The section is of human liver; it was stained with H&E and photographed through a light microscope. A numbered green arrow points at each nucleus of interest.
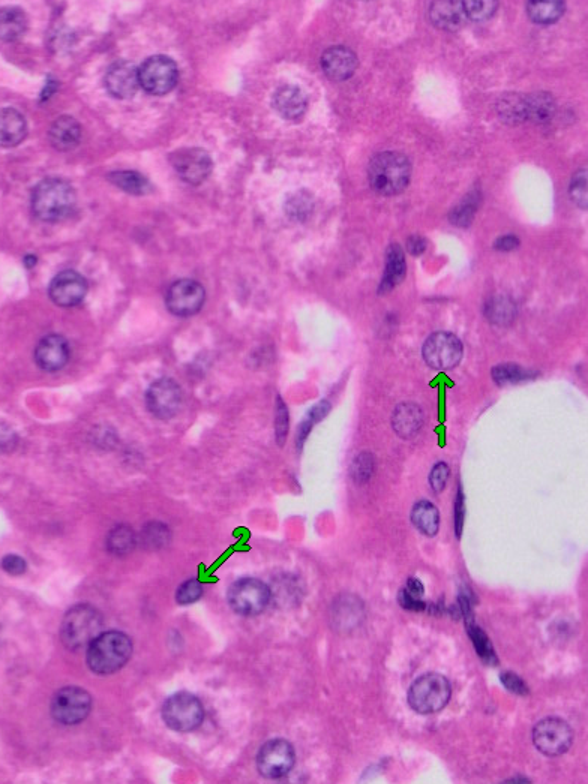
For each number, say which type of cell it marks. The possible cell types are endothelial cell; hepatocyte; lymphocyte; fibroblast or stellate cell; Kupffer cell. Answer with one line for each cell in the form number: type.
1: hepatocyte
2: fibroblast or stellate cell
